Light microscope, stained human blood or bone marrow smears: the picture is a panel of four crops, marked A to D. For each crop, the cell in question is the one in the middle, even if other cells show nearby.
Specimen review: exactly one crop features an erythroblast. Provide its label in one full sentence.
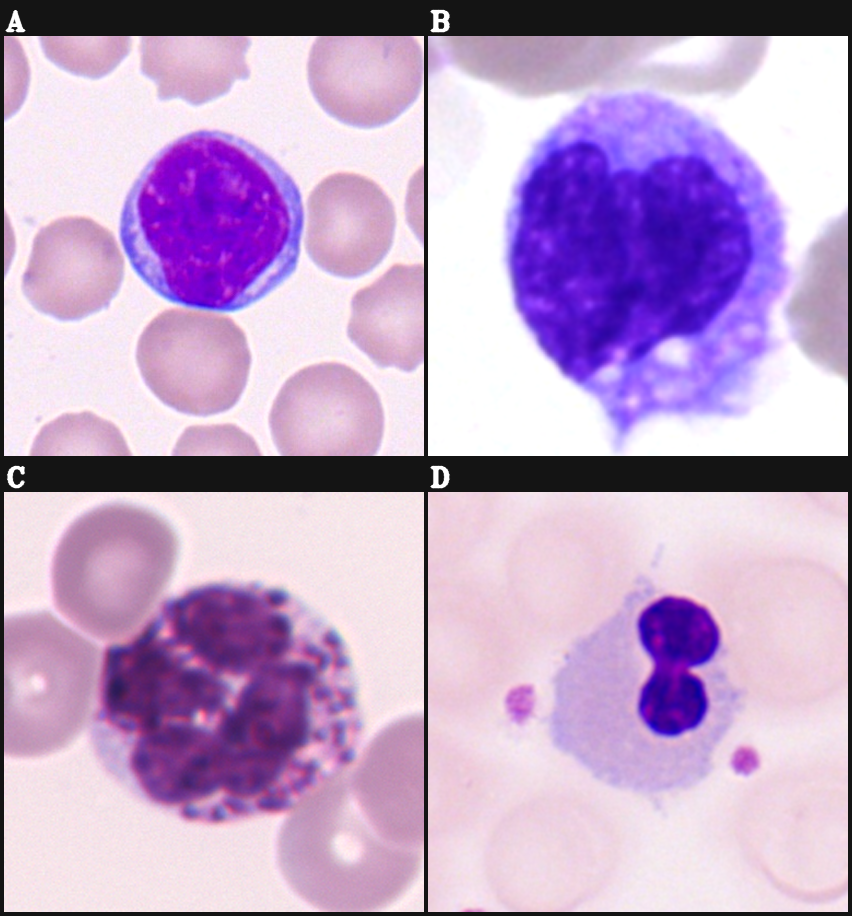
It is the cell in crop D that is an erythroblast.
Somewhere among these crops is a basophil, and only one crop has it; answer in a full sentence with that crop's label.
Crop C, and no other, shows a basophil.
